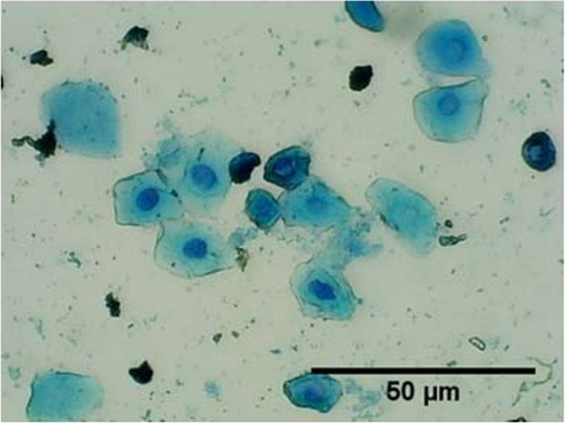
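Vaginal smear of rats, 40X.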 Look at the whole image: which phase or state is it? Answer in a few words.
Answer: Proestrous phase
